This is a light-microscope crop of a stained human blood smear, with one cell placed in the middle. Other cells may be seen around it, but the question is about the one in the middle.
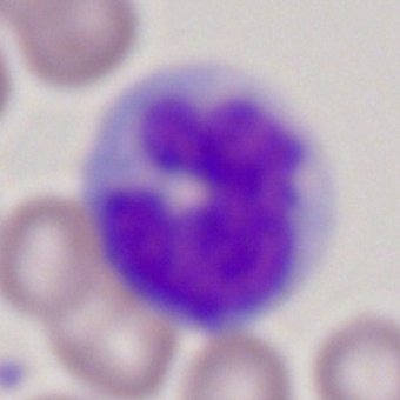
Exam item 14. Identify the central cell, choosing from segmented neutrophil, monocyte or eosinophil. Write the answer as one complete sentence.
The centrally located cell in the crop is a monocyte.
